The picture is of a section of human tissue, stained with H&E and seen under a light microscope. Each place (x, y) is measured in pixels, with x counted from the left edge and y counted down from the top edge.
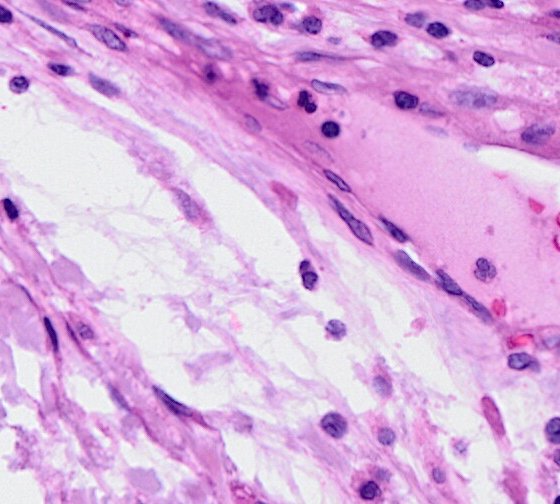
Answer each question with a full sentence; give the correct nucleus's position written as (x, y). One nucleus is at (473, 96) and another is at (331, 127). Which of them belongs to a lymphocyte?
Among the two nuclei, the one found at (331, 127) belongs to a lymphocyte.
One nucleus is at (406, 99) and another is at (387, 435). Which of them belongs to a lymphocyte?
The one belonging to a lymphocyte is the nucleus at (406, 99), not the other.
